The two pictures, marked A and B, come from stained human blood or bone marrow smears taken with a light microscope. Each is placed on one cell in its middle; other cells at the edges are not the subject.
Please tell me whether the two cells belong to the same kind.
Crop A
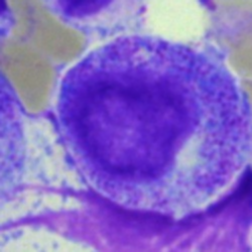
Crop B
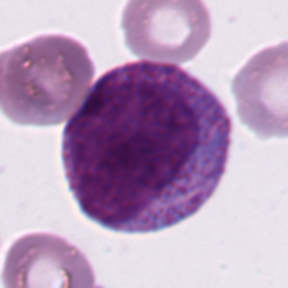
yes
